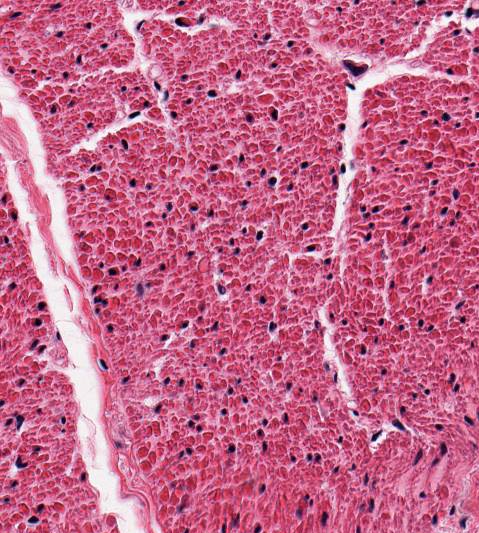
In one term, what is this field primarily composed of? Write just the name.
smooth muscle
